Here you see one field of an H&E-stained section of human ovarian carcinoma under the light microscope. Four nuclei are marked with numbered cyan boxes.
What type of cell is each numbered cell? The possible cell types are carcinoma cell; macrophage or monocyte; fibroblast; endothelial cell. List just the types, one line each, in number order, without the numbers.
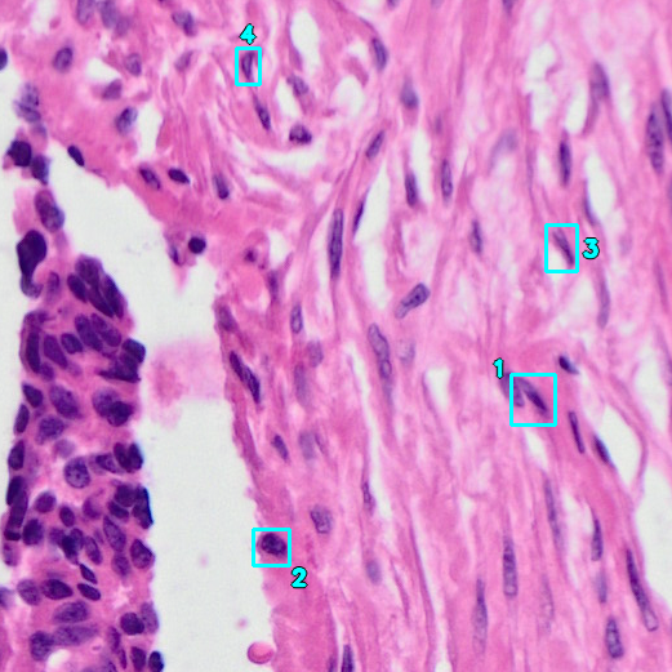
fibroblast
macrophage or monocyte
fibroblast
fibroblast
